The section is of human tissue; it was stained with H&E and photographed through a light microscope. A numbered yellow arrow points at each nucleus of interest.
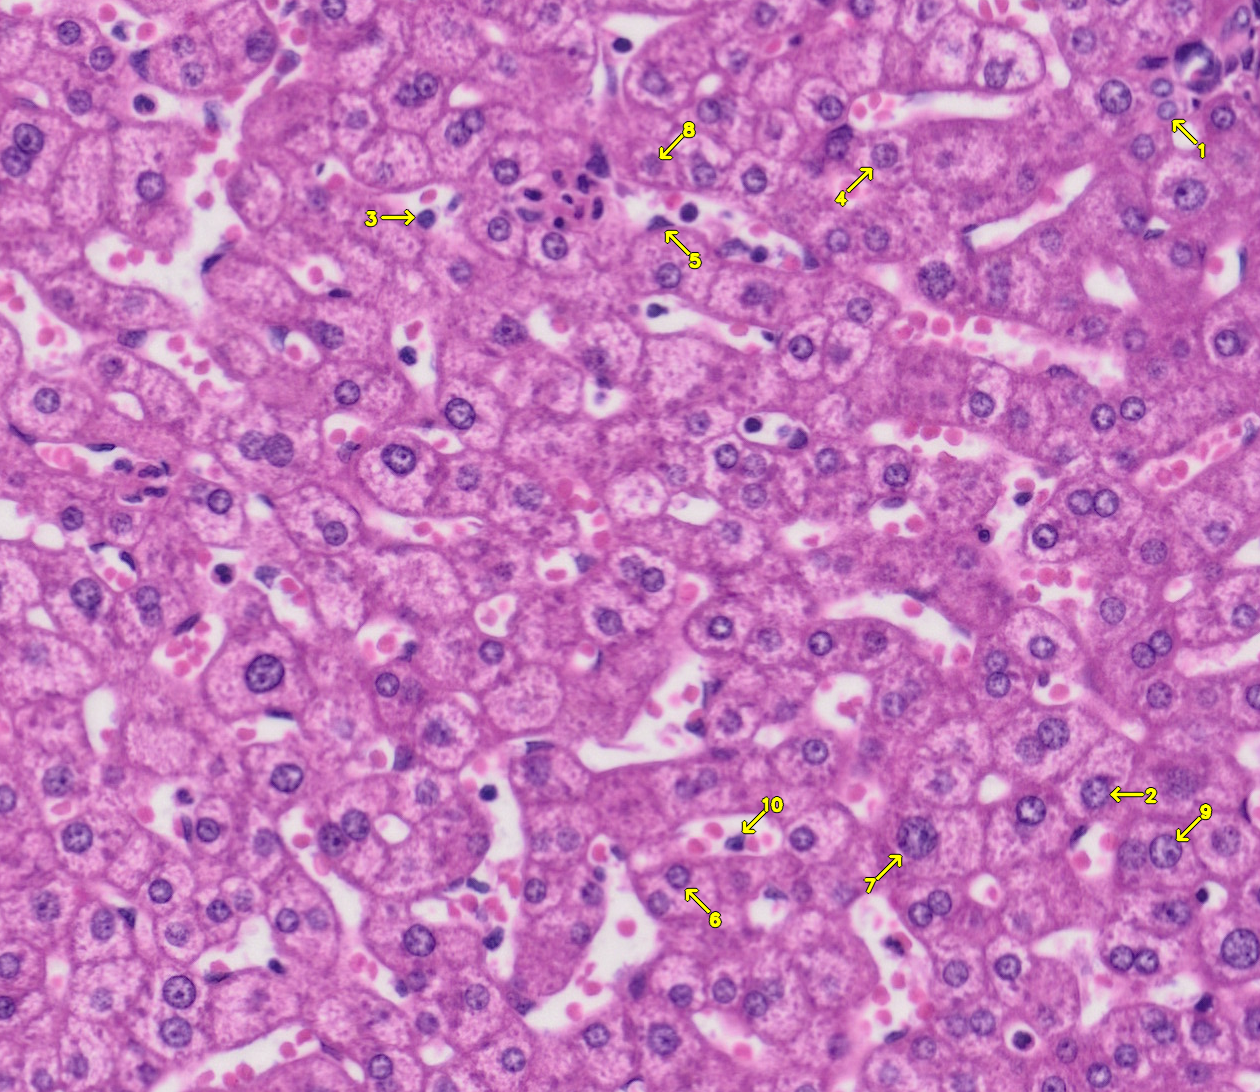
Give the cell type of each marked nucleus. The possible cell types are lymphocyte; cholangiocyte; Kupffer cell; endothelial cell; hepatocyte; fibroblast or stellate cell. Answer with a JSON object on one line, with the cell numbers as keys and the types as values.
{"1": "cholangiocyte", "2": "hepatocyte", "3": "lymphocyte", "4": "hepatocyte", "5": "endothelial cell", "6": "hepatocyte", "7": "hepatocyte", "8": "hepatocyte", "9": "hepatocyte", "10": "lymphocyte"}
